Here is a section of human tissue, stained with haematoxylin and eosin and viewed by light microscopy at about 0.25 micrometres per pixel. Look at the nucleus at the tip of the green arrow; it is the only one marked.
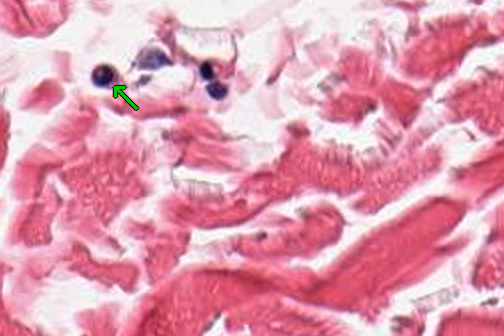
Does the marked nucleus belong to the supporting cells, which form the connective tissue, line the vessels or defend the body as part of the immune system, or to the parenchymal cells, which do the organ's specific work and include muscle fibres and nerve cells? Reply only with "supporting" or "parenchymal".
supporting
